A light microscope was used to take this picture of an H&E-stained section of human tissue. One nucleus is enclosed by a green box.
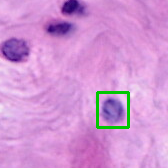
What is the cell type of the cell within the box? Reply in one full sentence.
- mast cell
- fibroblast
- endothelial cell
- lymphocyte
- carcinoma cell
The cell type represented by the cell within the box is that of a mast cell.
